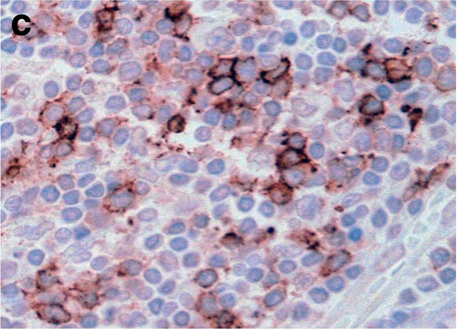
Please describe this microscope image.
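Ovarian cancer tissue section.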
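A dense sheet of small round cells with round blue nuclei and scant cytoplasm, among which many cells carry a dark-brown rim along their membranes and a brown blush in the cytoplasm, grouped close together. These stained cells are tumor infiltrating lymphocytes gathered in an aggregate.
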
